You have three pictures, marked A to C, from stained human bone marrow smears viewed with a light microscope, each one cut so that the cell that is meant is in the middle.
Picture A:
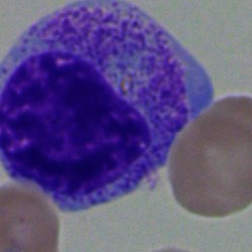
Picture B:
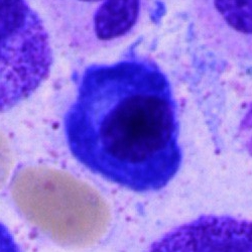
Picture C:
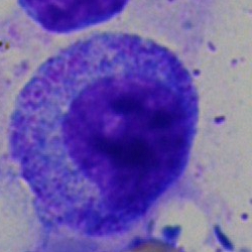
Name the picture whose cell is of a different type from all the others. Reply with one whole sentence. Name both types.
Picture B is the odd one out: it shows a plasma cell, while the others show promyelocytes.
